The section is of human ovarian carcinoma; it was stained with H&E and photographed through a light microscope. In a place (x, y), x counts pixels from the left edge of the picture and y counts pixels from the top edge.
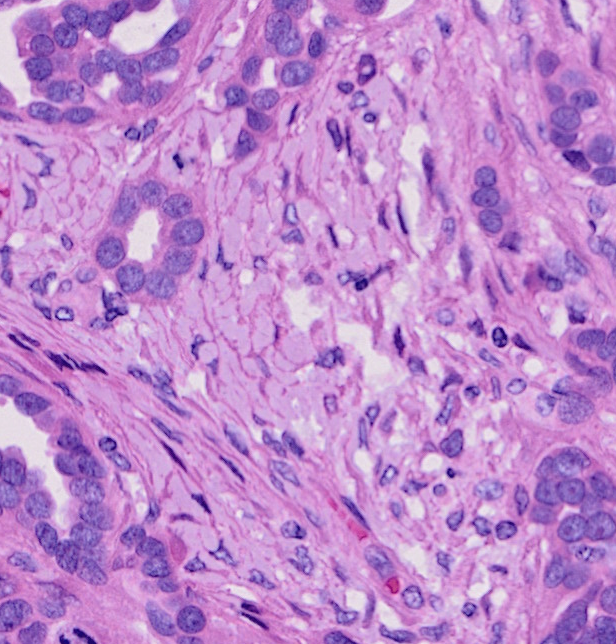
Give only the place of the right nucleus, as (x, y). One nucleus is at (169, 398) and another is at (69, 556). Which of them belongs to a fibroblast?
(169, 398)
